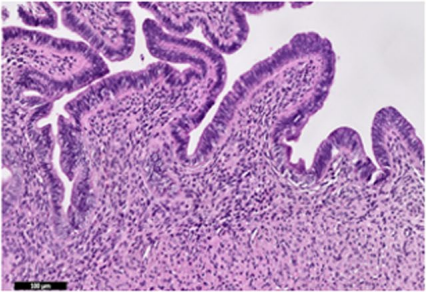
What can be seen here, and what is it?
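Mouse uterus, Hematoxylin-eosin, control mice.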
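Uterine wall with endometrial folds covered by a tall columnar epithelium with purple, closely packed nuclei, projecting into a clear lumen. Beneath the epithelium lies a stroma of spindle-shaped cells in a pink matrix. The stroma becomes more compact and fibrous toward the lower part of the section.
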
